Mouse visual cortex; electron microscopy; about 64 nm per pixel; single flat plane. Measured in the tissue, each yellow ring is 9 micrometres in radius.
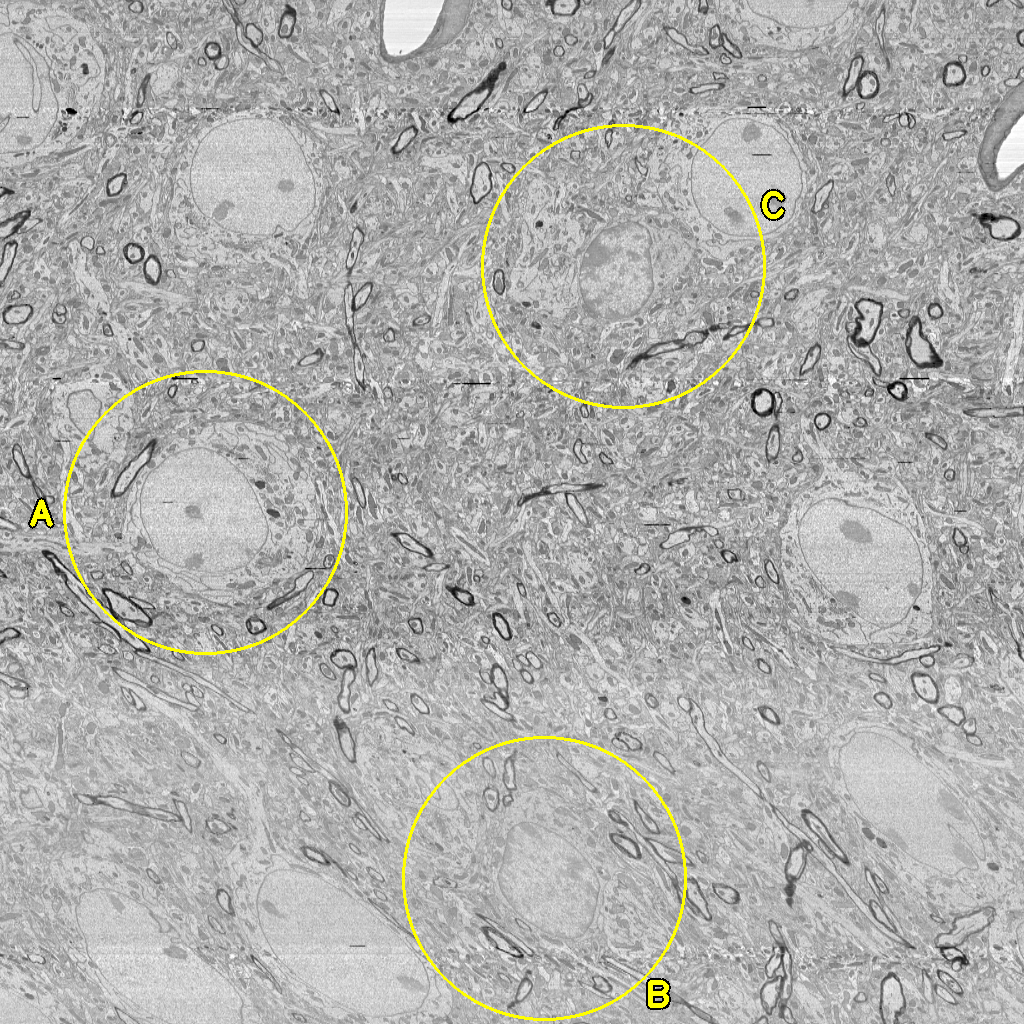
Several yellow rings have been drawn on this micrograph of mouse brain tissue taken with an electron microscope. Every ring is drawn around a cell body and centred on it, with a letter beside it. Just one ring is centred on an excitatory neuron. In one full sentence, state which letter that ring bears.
At the centre of ring A is a cell of that kind.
